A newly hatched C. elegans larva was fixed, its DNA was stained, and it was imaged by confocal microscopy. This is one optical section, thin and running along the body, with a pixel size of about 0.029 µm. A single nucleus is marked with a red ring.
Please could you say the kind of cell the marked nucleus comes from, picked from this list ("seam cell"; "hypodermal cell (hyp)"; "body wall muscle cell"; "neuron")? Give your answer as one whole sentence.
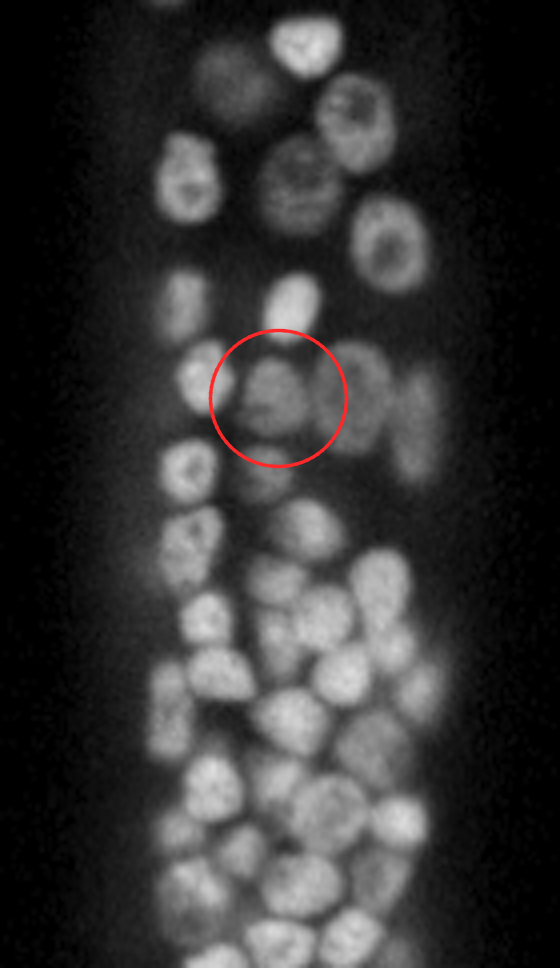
This is the nucleus of a neuron.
